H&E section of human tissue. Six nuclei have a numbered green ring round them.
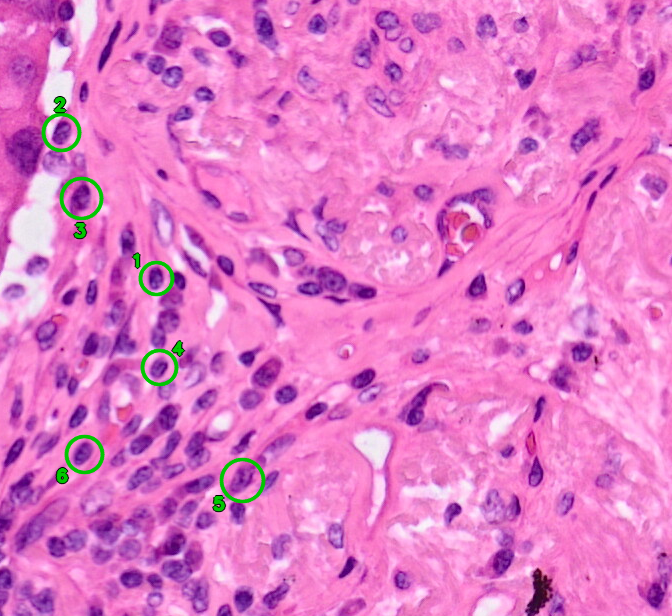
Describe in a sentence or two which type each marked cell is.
Cell 1 is a lymphocyte, cell 2 is a lymphocyte, cell 3 is a plasma cell, cell 4 is a lymphocyte, cell 5 is a plasma cell and cell 6 is a lymphocyte.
